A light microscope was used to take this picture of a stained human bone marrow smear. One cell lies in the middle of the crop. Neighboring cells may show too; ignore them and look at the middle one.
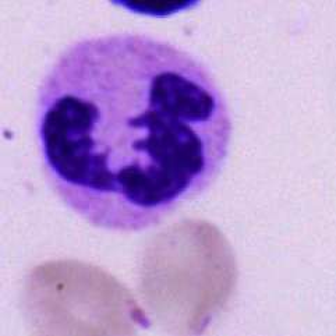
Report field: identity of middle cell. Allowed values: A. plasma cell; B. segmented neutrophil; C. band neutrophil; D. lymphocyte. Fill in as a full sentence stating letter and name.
The middle of the crop contains a segmented neutrophil, so option B is right.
